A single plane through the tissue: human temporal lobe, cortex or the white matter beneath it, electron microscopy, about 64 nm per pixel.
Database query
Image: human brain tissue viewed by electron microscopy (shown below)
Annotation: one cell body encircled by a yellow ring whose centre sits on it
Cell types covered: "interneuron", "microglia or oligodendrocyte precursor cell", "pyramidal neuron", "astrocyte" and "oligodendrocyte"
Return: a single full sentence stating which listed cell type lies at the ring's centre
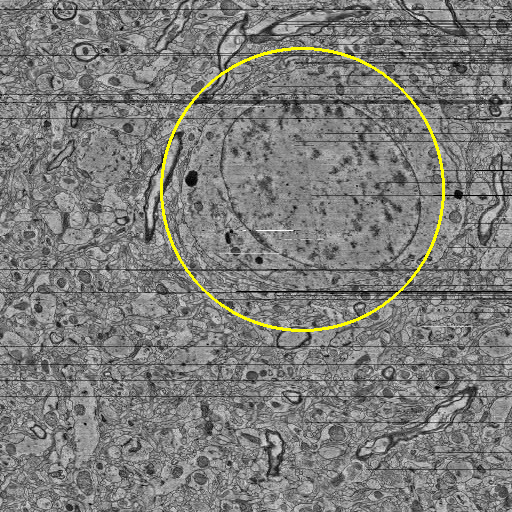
In the image, the cell lying at the ring's centre is a pyramidal neuron.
